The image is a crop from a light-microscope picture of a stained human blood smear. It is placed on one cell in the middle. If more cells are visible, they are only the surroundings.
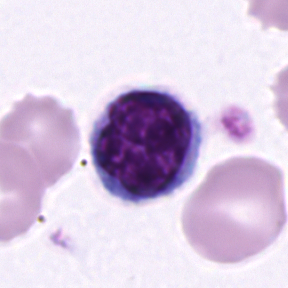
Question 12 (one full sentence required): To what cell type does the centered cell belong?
By type, the central cell of the crop is a plasma cell.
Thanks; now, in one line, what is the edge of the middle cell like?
Around its whole circumference the outline stays smooth, free of projections.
